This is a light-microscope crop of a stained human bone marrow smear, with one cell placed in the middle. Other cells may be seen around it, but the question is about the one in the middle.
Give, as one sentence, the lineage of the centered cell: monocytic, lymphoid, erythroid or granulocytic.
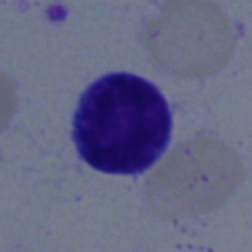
The centered cell is one of the lymphoid lineage.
